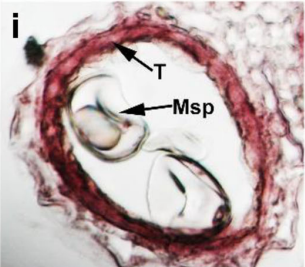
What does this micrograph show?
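This is a cross-section of an anther locule with a thick wall stained an intense reddish-purple. The strongest colour lies in the tapetum, the innermost layer of the wall, which forms a dense band encircling the chamber. The cells of the outer wall layers beyond the band are also tinged, but more faintly.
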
